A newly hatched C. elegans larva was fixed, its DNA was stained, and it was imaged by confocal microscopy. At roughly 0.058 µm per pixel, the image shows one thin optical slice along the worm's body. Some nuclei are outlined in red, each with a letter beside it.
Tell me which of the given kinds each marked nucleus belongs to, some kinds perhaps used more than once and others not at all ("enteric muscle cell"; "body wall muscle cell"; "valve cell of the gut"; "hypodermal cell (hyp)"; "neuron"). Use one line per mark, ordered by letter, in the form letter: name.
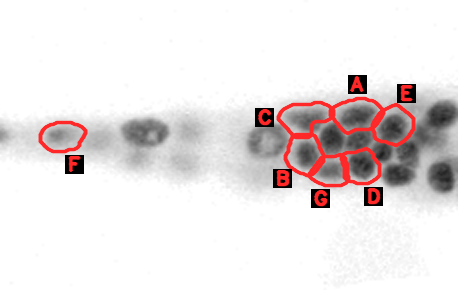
A: enteric muscle cell
B: neuron
C: body wall muscle cell
D: neuron
E: neuron
F: hypodermal cell (hyp)
G: body wall muscle cell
